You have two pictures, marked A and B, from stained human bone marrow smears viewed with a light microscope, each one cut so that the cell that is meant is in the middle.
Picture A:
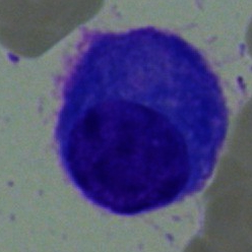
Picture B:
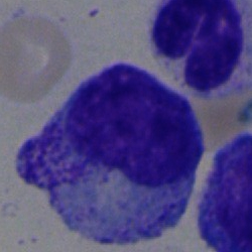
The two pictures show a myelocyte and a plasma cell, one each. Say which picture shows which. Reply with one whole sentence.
Picture B shows a myelocyte, while picture A shows a plasma cell.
